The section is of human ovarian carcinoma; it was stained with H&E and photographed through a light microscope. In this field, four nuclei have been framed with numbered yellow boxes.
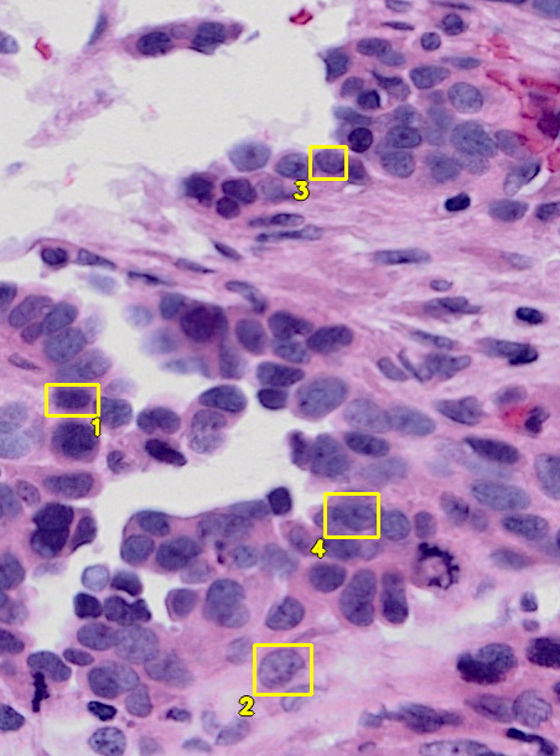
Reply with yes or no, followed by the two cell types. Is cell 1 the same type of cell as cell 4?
Yes, and to be precise, cells 1 and 4 are both carcinoma cells.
